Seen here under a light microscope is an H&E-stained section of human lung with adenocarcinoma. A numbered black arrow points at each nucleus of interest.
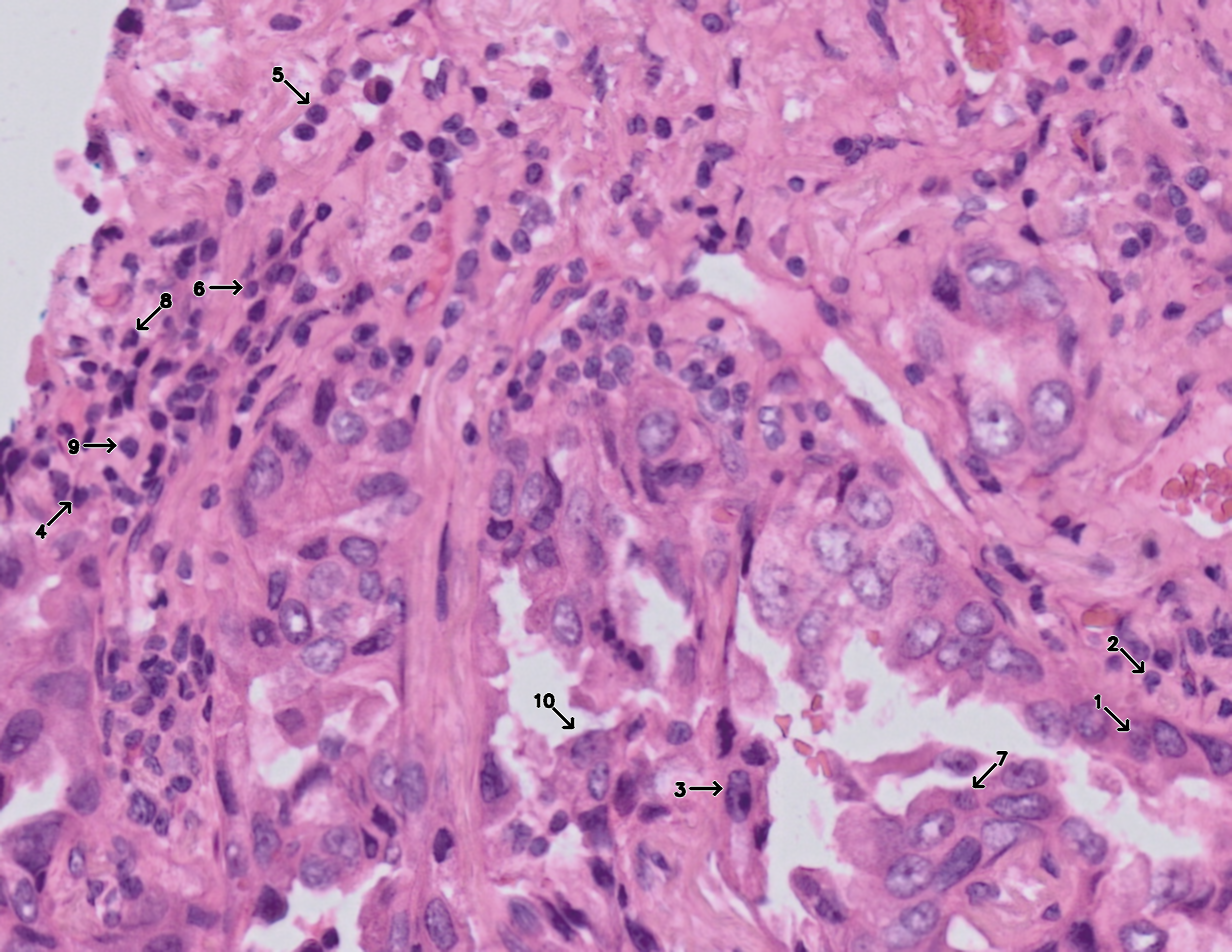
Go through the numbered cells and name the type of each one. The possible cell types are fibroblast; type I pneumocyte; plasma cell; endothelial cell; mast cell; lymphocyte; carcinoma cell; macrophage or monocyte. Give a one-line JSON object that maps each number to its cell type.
{"1": "carcinoma cell", "2": "lymphocyte", "3": "carcinoma cell", "4": "lymphocyte", "5": "lymphocyte", "6": "lymphocyte", "7": "carcinoma cell", "8": "lymphocyte", "9": "lymphocyte", "10": "carcinoma cell"}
